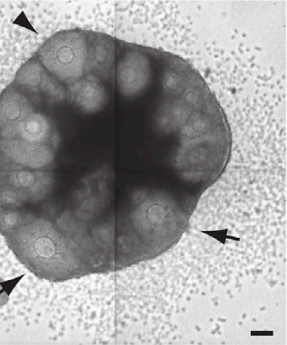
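Numerous round follicles, each with a pale central oocyte, are distributed through the tissue, most of them lying toward its outer margin. The centre of the slice is dark and dense, so that little structure can be made out there. The follicles vary in size, and some bulge from the edge of the slice. Scattered small particles lie on the surrounding background.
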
